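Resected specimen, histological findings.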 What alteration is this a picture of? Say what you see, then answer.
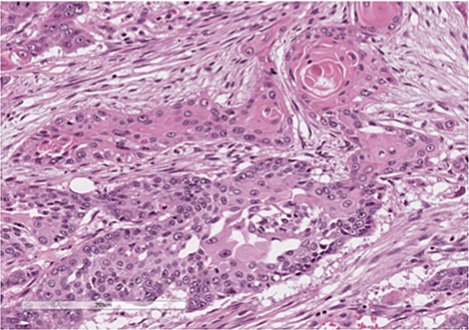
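Concentric lamellated eosinophilic keratin pearl at the upper right. Tumour nests of cells with abundant glassy pink cytoplasm.
Conclusion: keratinization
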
